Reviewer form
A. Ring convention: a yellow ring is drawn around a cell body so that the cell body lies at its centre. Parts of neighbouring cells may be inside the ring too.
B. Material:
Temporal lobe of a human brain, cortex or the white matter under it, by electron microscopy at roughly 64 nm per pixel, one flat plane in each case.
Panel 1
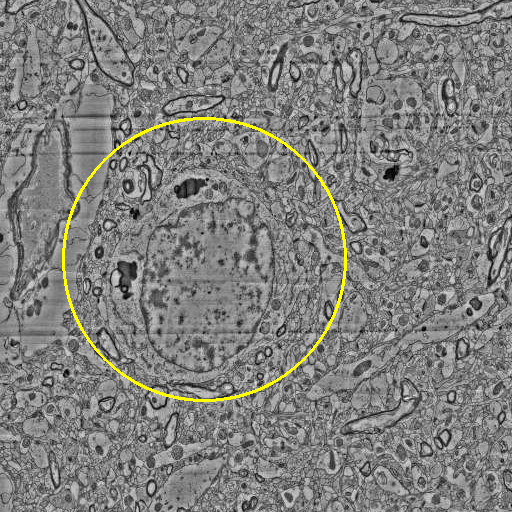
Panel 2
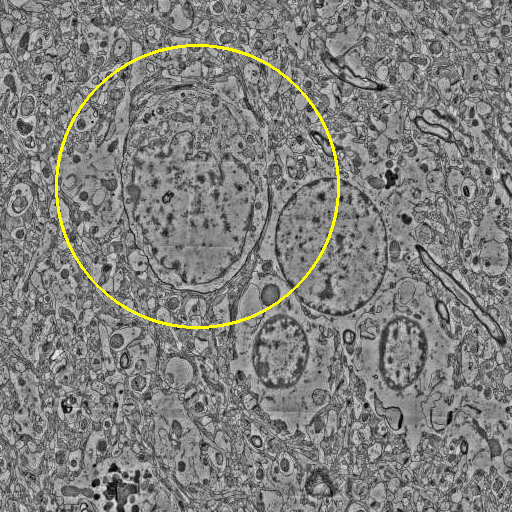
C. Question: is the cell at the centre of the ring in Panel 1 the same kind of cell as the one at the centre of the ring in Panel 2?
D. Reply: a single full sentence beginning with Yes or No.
Yes, the cells in Panel 1 and Panel 2 are the same kind of cell.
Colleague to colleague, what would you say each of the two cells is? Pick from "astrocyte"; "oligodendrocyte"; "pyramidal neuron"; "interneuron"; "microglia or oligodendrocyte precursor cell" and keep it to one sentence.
In the first picture and in the second, the ring is centred on an interneuron.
